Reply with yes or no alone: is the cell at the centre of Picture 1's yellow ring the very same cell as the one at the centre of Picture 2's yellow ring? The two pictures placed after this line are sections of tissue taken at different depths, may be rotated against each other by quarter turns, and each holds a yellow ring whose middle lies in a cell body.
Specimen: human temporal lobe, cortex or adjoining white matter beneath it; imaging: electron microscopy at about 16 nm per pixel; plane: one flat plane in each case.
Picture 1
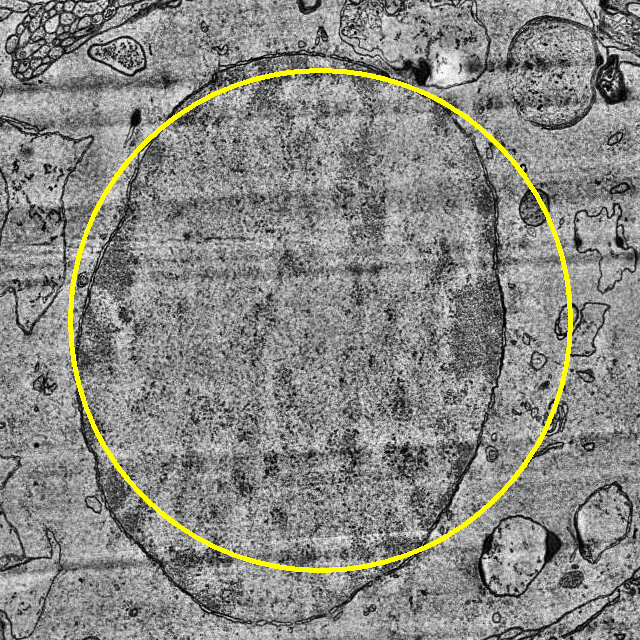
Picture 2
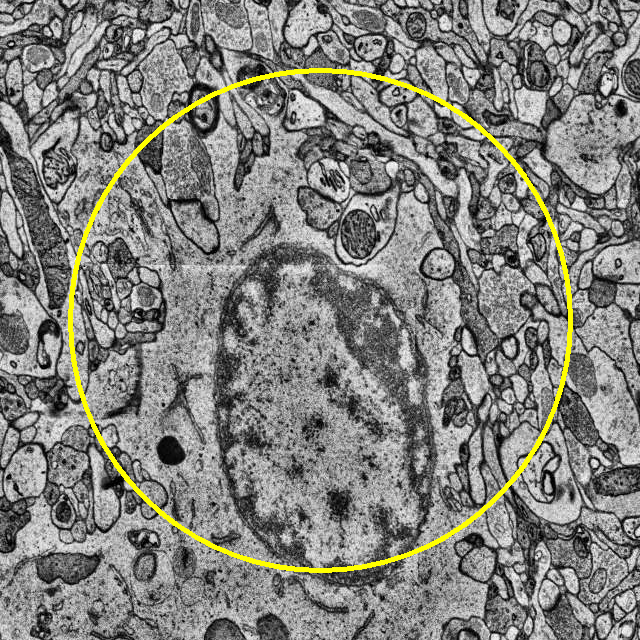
no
